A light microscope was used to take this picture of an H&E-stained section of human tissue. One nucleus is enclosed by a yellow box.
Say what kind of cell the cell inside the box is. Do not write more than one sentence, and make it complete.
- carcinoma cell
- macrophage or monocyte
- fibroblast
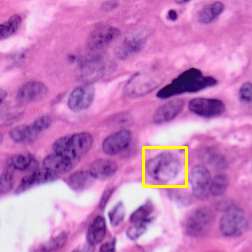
For cell typing purposes, the cell inside the box is a macrophage or monocyte.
